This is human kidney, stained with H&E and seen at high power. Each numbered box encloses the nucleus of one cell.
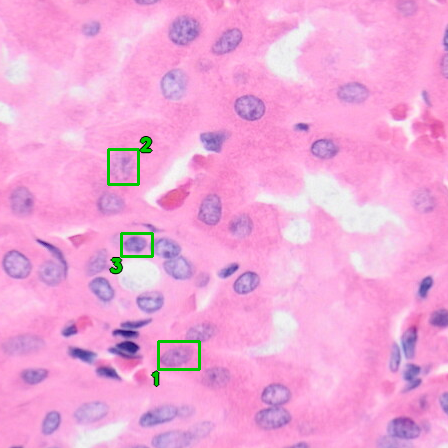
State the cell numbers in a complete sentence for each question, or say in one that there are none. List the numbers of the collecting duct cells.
Response: cell 3 is a collecting duct cell, and no other numbered cell is.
